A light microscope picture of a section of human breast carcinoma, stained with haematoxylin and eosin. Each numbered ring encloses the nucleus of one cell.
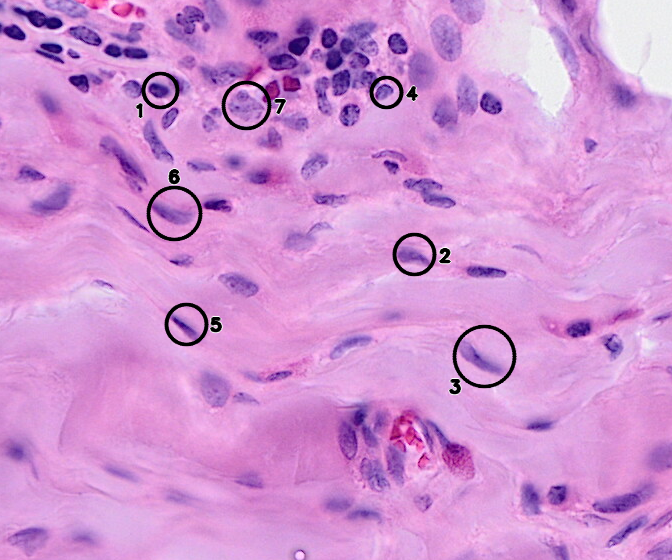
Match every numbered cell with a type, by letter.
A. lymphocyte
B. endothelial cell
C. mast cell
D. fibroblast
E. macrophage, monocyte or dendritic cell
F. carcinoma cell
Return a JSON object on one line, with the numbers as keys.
{"1": "A", "2": "D", "3": "D", "4": "A", "5": "D", "6": "D", "7": "B"}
